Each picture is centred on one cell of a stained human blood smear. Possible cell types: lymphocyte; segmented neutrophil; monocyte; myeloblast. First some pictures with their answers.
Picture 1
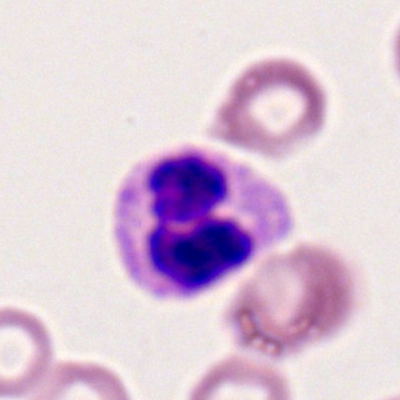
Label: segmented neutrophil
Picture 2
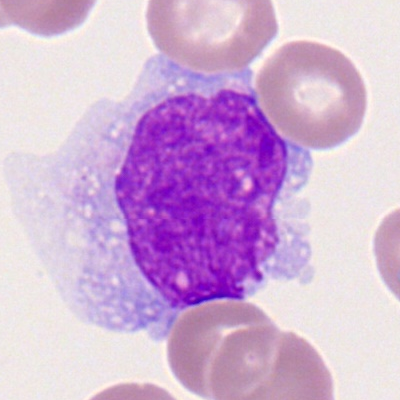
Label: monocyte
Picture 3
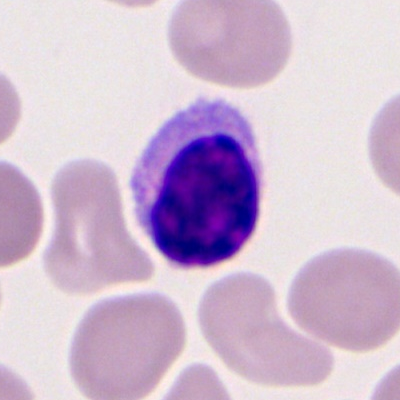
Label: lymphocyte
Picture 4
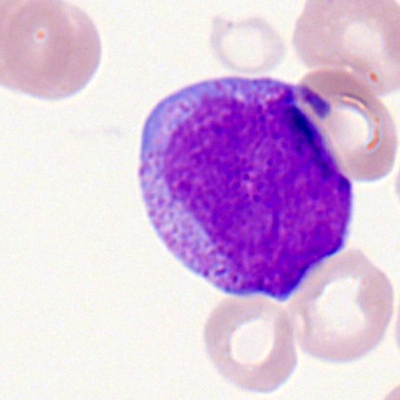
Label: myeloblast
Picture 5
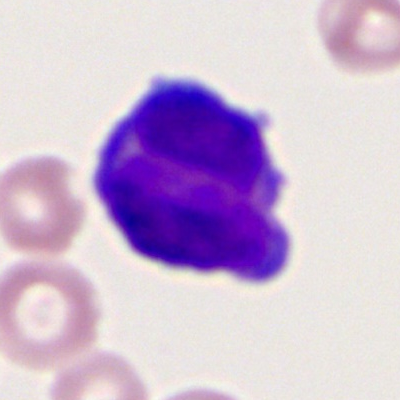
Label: myeloblast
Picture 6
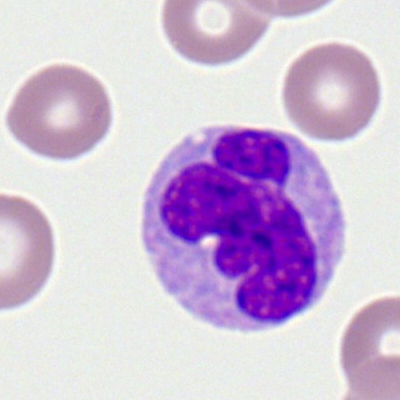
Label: monocyte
